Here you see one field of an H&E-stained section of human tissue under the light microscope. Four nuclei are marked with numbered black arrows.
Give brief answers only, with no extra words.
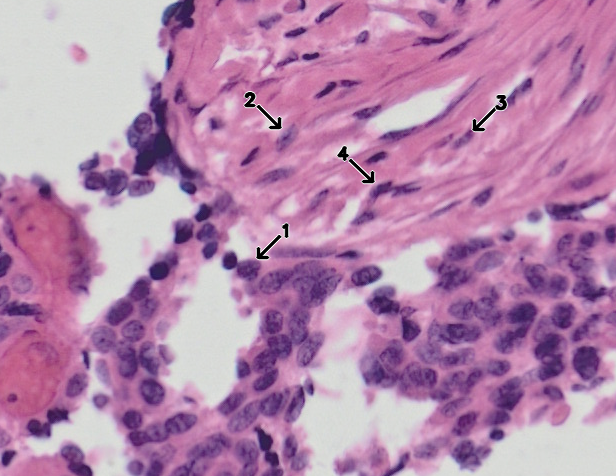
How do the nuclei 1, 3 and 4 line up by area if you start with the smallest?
3, 4, 1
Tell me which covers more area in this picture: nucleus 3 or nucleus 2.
2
